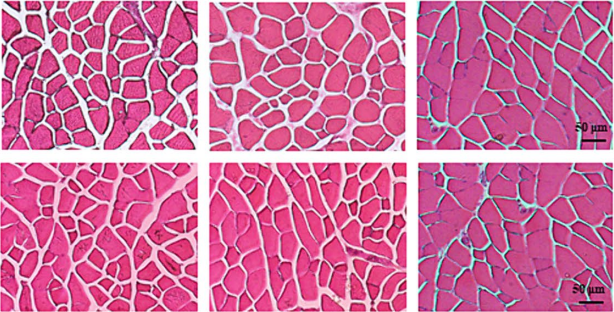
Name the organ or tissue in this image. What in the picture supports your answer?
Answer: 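Tightly packed polygonal pink-staining fibers in cross-section. Thin pale spaces separate the individual fibers. On this evidence: muscle tissue.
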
